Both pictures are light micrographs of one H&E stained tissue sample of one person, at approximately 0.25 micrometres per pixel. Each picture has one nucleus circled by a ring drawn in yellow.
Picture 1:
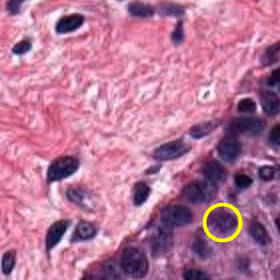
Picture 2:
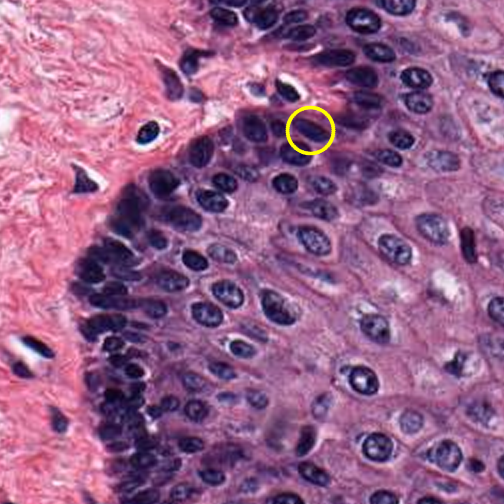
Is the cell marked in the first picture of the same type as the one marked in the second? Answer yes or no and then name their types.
Yes, both are squamous epithelial cells.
